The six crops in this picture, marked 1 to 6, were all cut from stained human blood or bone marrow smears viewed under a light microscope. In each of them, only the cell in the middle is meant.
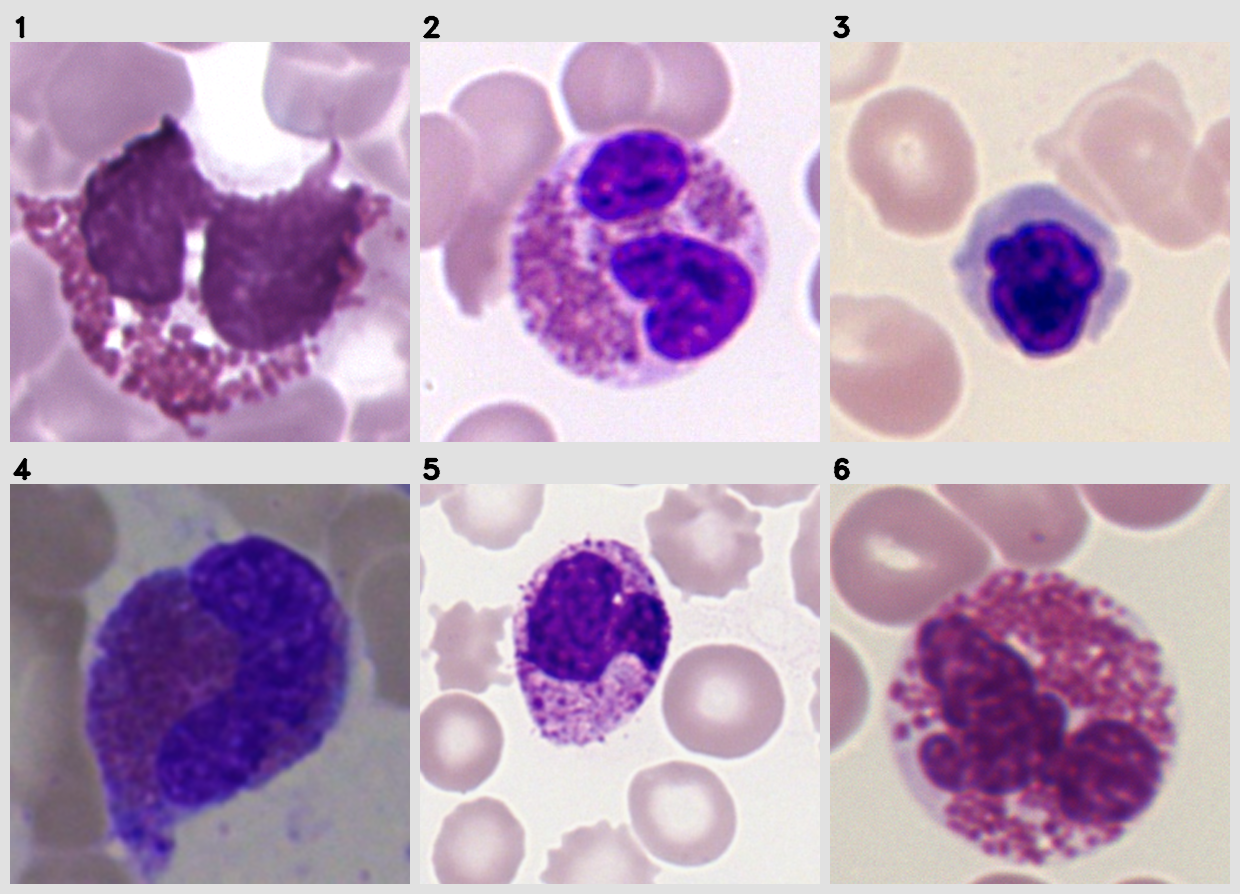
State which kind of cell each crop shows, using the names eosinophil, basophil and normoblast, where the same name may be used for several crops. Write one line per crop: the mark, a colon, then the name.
1: eosinophil
2: eosinophil
3: normoblast
4: eosinophil
5: basophil
6: eosinophil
